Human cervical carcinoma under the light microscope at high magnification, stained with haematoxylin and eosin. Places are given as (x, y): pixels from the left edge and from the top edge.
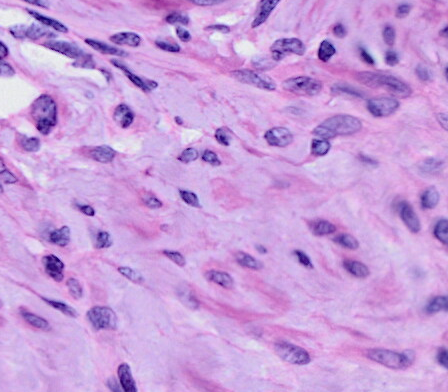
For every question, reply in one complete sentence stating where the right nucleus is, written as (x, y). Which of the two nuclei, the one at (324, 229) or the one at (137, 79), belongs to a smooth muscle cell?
Rather than the other nucleus, the one at (324, 229) belongs to a smooth muscle cell.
